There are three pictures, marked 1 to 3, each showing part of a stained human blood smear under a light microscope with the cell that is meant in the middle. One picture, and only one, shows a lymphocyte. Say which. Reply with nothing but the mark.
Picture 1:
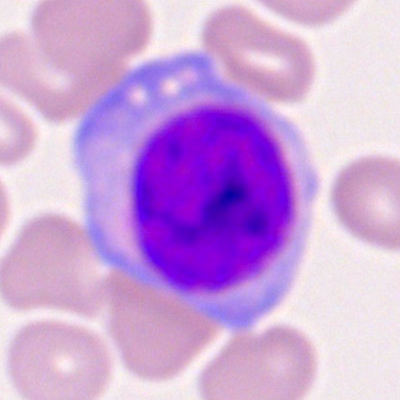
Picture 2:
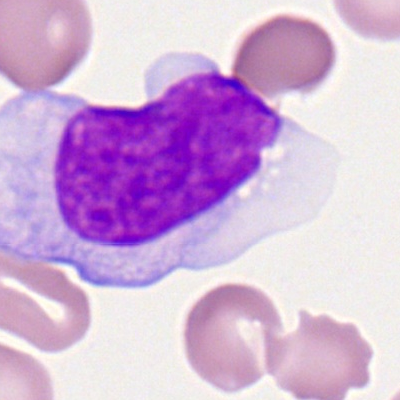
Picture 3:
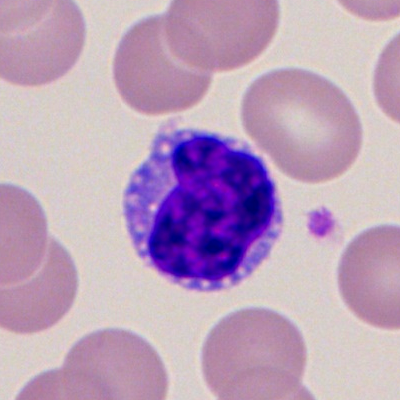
3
